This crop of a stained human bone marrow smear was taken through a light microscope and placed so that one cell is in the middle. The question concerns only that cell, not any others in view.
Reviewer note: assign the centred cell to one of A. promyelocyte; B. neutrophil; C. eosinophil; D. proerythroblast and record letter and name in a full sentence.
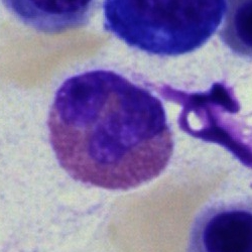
The middle cell of the crop is an eosinophil; accordingly, option C is correct.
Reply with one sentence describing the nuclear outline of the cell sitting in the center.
The nucleus is divided into two or more distinct lobes.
